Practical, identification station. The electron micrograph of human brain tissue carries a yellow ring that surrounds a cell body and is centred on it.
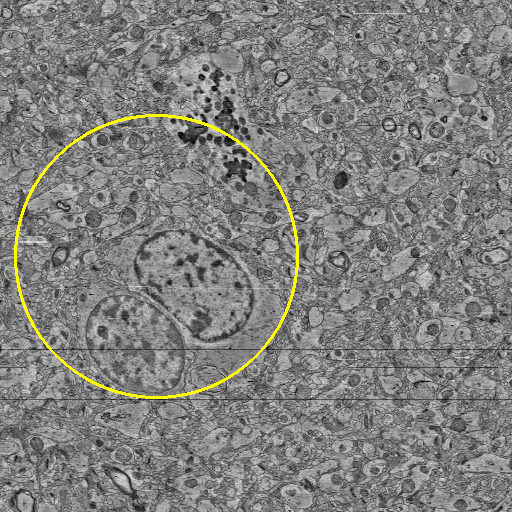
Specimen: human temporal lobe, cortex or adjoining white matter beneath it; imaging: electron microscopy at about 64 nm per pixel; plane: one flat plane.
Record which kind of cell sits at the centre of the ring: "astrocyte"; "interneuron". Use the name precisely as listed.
astrocyte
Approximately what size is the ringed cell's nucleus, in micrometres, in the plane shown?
About 8 by 6 micrometres in this plane; clearly longer than it is wide.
